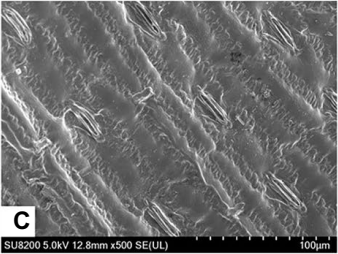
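Low-magnification surface view of leaf epidermis with many stomata arranged in parallel rows. Long epidermal cells run diagonally, separated by wavy, beaded cell borders that give a ribbed appearance. Small elongated stomata, each a slit between paired guard cells, lie regularly spaced along the rows.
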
